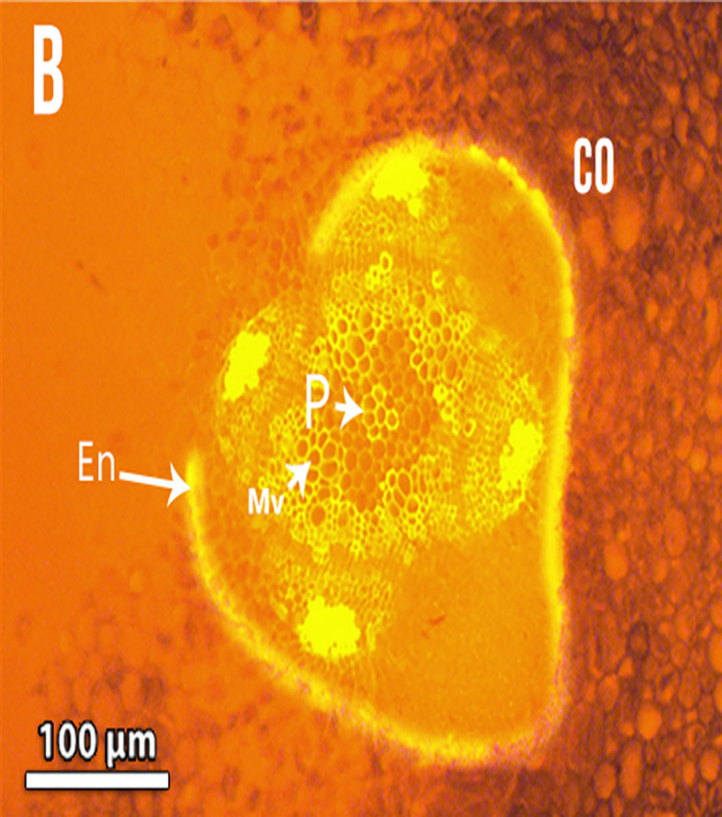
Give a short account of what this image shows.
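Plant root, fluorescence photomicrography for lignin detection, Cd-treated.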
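A cross-section of a root shows the central vascular cylinder with its surrounding cortex of large rounded parenchyma cells. The cylinder is bounded by a brightly yellow-glowing endodermis, and inside it the walls of the pith parenchyma and of the wide metaxylem vessels fluoresce yellow, outlining a honeycomb of polygonal cells. Several bright yellow patches sit at the periphery of the cylinder.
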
